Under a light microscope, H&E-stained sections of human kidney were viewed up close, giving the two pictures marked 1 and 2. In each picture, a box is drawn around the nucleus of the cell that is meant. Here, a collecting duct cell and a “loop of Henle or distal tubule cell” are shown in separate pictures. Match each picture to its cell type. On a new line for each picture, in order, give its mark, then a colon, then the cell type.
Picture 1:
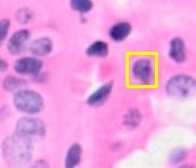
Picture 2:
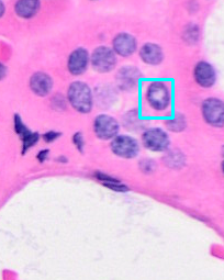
1: loop of Henle or distal tubule cell
2: collecting duct cell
